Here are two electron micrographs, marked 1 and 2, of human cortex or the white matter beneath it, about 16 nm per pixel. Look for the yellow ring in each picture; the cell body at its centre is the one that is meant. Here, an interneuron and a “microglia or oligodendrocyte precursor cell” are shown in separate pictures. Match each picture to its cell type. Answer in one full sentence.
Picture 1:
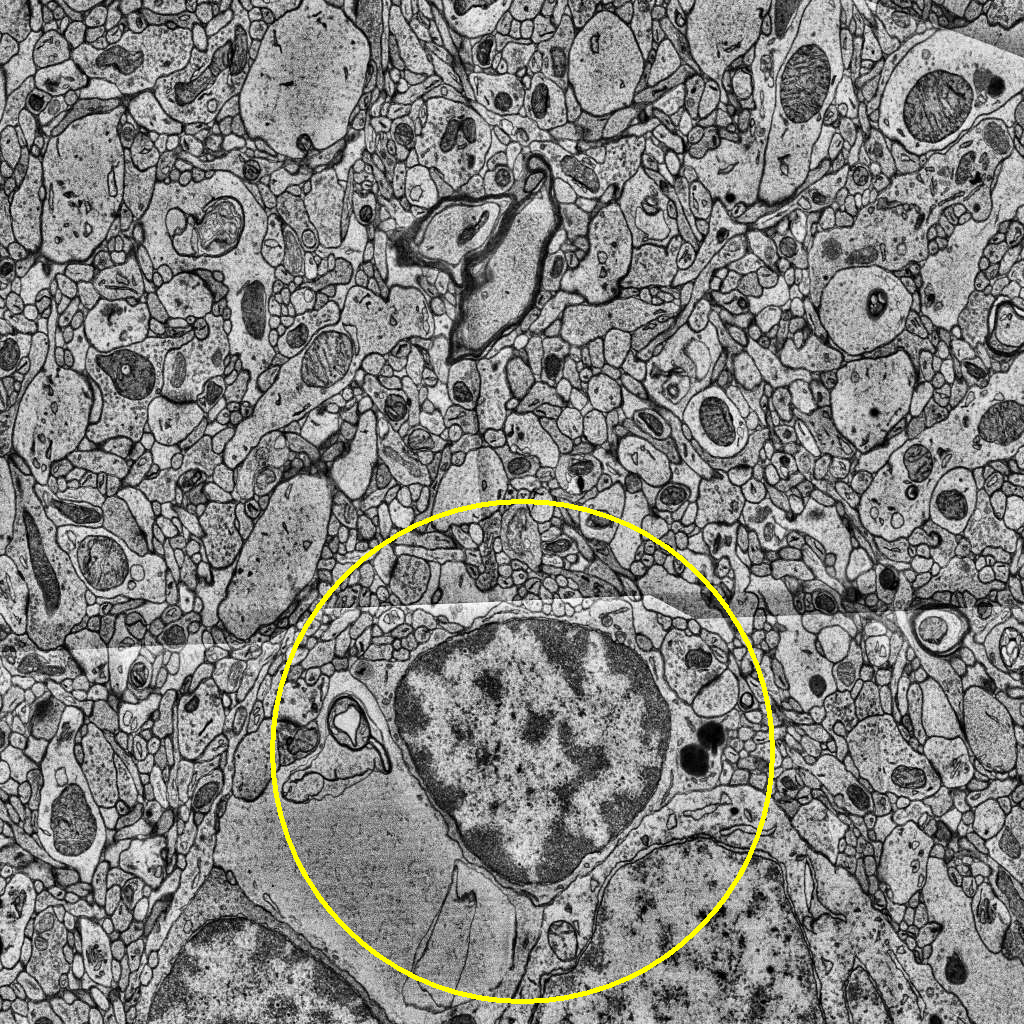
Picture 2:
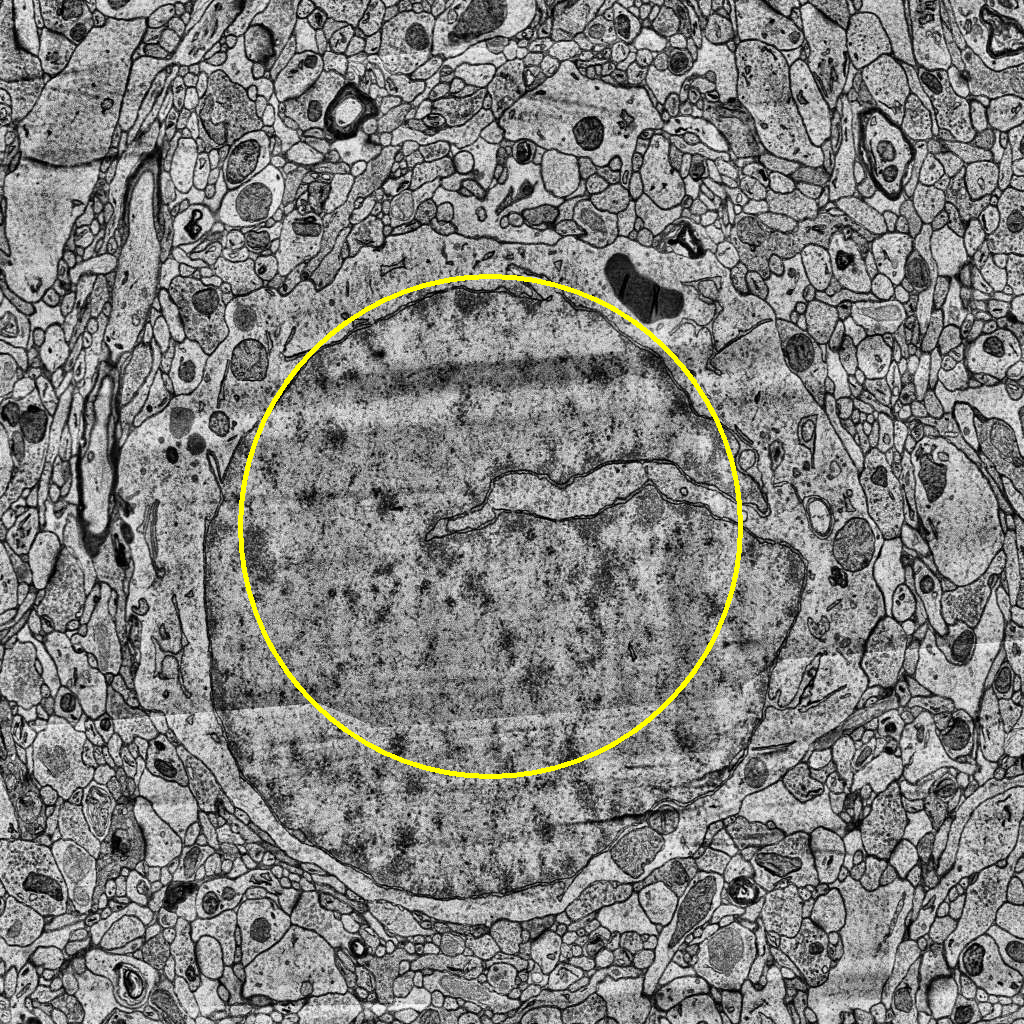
Picture 1 shows a “microglia or oligodendrocyte precursor cell” and picture 2 shows an interneuron.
